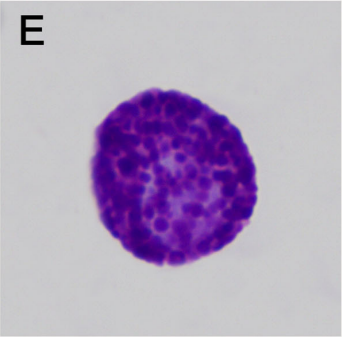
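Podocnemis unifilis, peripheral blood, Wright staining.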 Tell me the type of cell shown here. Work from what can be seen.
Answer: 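Round cell filled with large dark purple granules. Granules obscure the nucleus. On this evidence: Basophil.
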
